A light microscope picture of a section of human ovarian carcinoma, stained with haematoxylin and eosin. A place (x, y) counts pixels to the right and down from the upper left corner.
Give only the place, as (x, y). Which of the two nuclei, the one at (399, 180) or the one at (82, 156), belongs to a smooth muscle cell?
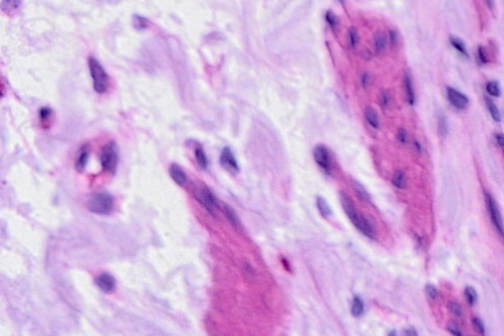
(399, 180)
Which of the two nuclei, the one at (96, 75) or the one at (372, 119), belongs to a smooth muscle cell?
(372, 119)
